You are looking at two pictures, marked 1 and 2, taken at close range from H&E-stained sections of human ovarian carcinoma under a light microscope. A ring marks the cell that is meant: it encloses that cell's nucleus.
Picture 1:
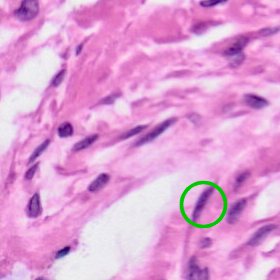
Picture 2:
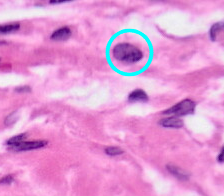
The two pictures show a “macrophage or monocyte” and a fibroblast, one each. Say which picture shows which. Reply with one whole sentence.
Picture 2 shows a “macrophage or monocyte”, while picture 1 shows a fibroblast.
